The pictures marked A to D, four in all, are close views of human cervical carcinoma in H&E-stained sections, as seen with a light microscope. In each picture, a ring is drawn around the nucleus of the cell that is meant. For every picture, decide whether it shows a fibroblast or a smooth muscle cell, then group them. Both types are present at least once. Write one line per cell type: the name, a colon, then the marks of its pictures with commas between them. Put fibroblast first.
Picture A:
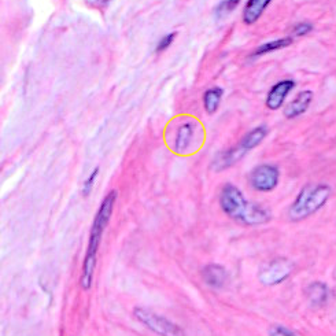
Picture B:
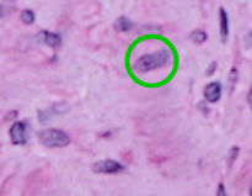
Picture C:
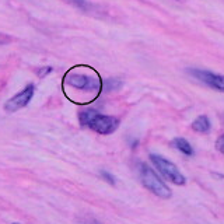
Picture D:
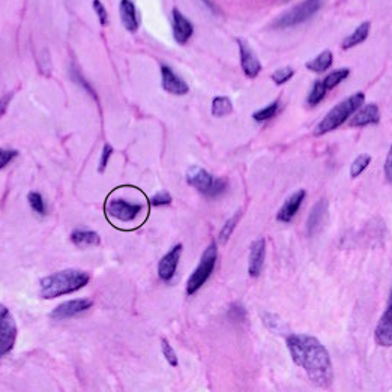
fibroblast: D
smooth muscle cell: A, B, C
